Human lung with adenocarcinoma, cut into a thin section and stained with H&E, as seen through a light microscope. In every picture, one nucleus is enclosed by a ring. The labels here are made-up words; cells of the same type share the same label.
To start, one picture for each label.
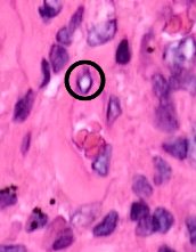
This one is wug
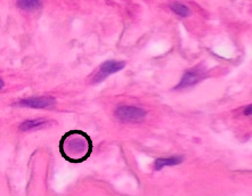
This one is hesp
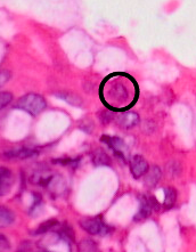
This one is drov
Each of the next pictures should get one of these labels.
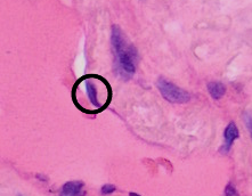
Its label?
wug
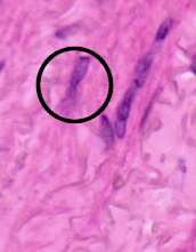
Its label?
hesp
